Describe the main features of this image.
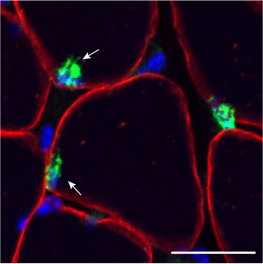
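Cross-sectioned skeletal muscle myofibers, each large and polygonal and outlined by a thin red membrane line, with dark unstained interiors. Small blue nuclei sit at the edges of the fibers, and some nuclei are bright green; the arrows mark green nuclei lying just within the red outline of a fiber.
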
